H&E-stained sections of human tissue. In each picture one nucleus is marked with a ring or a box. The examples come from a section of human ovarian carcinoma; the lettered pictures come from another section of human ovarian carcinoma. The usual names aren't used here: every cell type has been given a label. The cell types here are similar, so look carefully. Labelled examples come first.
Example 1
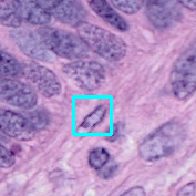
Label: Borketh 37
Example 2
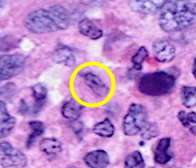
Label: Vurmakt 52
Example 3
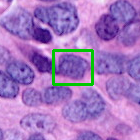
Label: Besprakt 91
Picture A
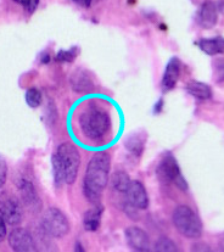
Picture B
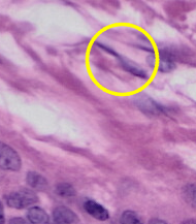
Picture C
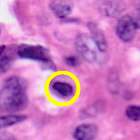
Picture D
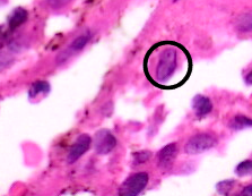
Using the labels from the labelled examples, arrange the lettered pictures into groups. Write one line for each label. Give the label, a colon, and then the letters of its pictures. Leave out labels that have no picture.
Borketh 37: B
Vurmakt 52: C, D
Besprakt 91: A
